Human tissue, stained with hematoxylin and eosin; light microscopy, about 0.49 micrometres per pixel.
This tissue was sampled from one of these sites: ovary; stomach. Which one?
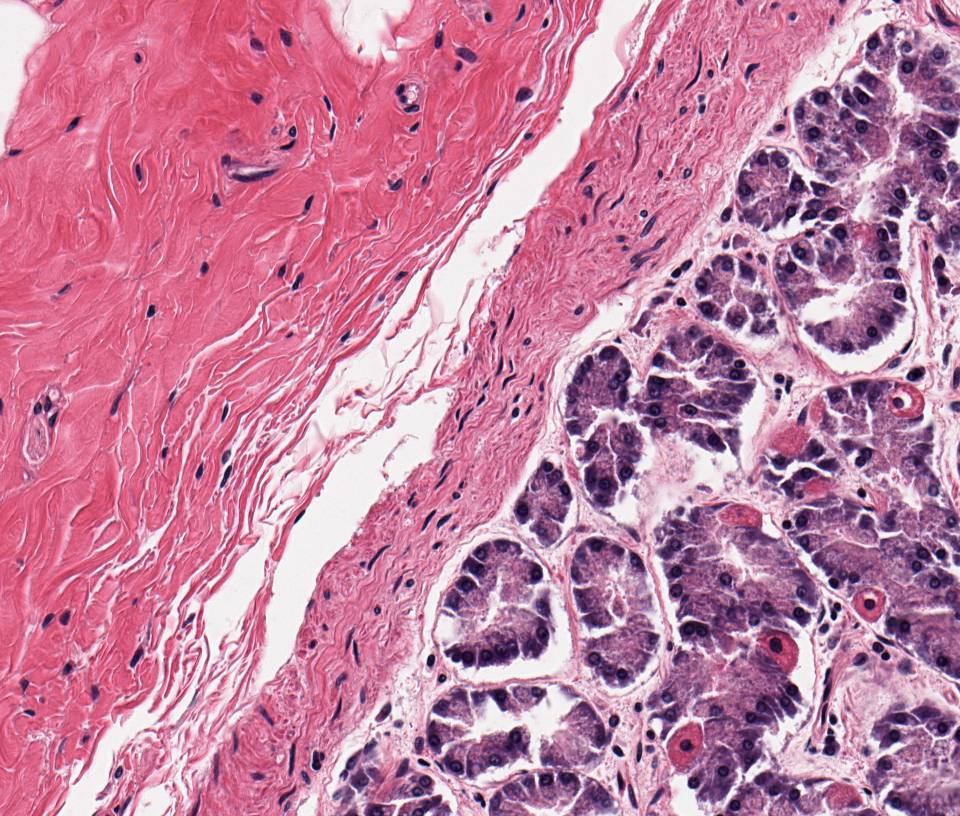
stomach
